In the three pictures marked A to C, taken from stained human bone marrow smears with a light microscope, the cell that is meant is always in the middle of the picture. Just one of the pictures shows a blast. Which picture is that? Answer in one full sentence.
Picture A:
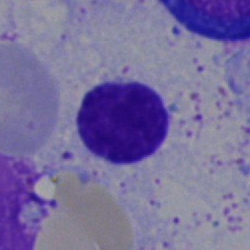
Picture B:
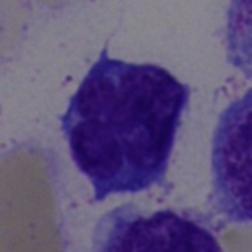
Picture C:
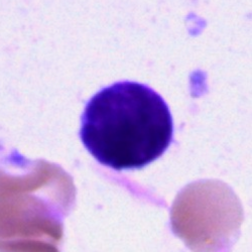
The blast is the one in picture B.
